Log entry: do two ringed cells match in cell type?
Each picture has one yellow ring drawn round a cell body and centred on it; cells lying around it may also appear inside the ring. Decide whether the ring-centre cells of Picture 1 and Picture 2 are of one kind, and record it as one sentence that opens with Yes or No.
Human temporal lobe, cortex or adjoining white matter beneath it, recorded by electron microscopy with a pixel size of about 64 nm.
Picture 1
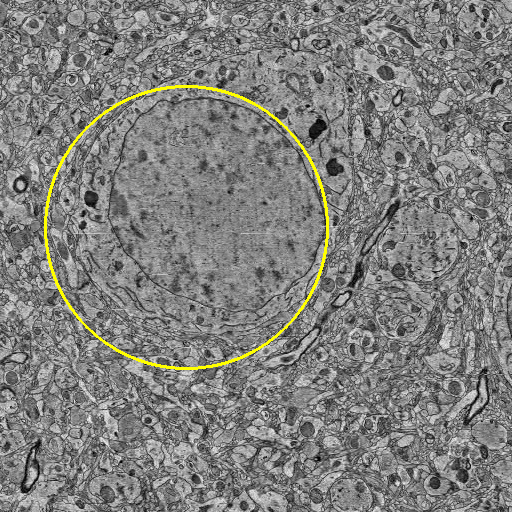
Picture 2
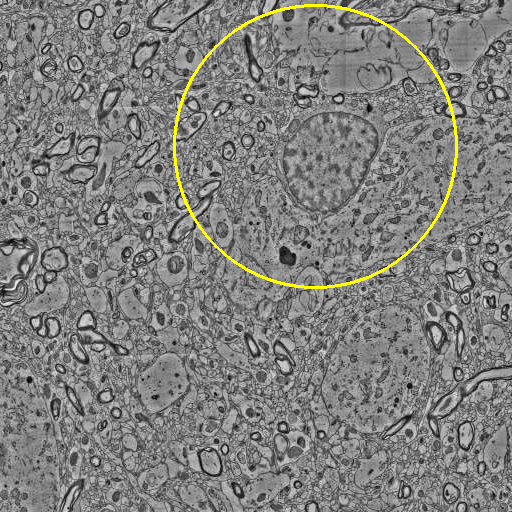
No, the cells at the ring centres of the two pictures belong to two kinds.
